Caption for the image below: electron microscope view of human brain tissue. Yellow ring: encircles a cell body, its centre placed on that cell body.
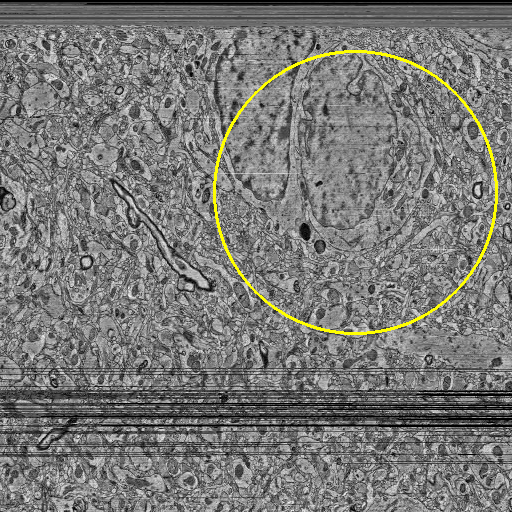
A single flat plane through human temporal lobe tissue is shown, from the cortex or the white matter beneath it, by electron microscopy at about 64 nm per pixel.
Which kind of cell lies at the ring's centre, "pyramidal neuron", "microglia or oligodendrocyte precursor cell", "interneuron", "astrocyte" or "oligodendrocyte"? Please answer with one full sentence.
The picture shows an interneuron at the centre of the yellow ring.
